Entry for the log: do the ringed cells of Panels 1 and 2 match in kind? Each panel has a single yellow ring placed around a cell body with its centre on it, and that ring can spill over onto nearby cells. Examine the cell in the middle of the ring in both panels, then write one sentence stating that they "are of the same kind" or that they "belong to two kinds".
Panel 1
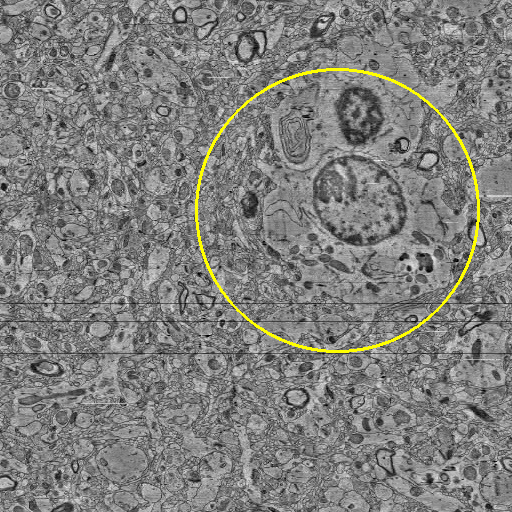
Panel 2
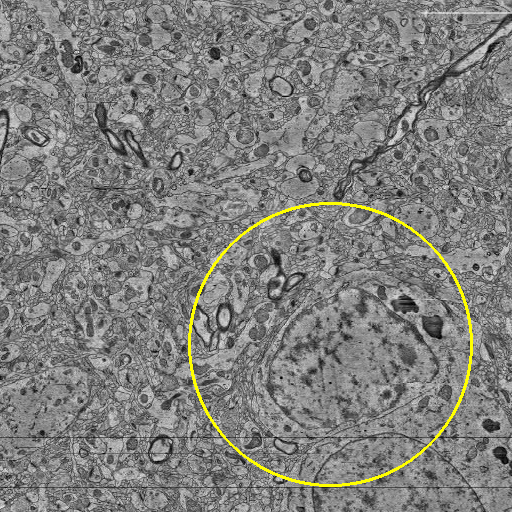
The centre cell of Panel 1's ring and that of Panel 2's ring belong to two kinds.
